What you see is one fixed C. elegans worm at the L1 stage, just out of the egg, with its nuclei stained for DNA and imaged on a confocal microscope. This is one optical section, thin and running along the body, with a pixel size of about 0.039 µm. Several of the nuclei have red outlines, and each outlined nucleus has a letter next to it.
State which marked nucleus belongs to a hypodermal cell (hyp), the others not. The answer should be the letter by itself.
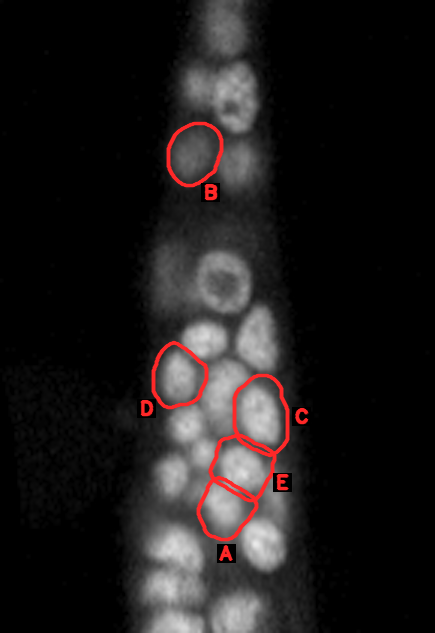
B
